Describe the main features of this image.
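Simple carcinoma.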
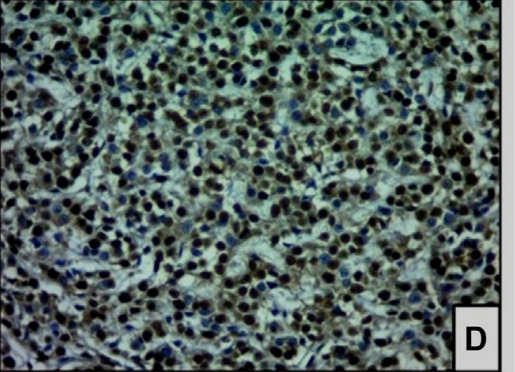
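Sheets of densely packed tumor cells with round to oval nuclei fill the field. Most nuclei are stained dark brown, while the scant cytoplasm around them stays pale, and thin strands of stroma run between the cells.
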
